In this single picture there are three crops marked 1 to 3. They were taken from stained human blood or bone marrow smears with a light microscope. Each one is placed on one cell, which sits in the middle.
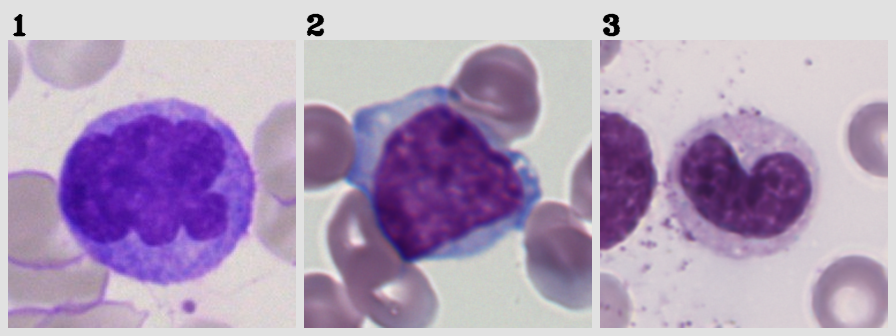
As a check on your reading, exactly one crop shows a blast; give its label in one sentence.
Crop 2 is the crop in which a blast is shown.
